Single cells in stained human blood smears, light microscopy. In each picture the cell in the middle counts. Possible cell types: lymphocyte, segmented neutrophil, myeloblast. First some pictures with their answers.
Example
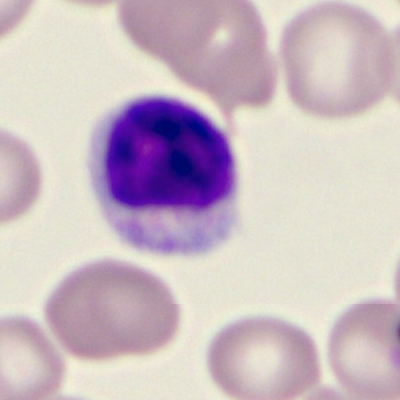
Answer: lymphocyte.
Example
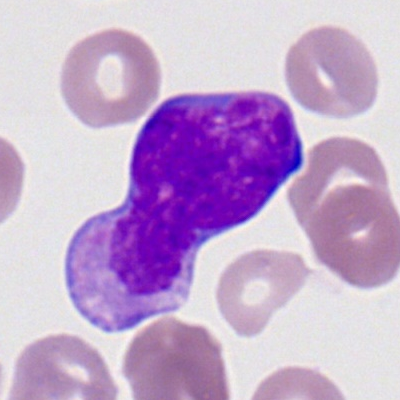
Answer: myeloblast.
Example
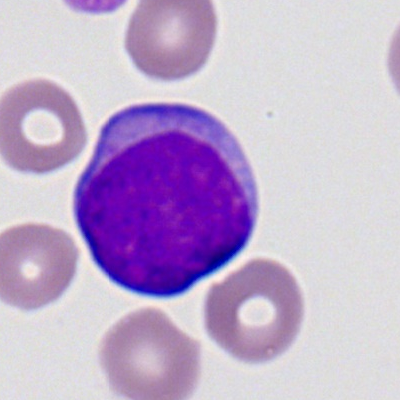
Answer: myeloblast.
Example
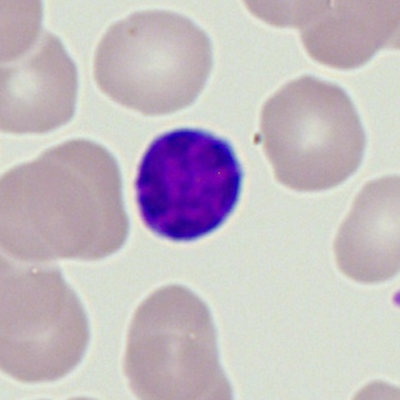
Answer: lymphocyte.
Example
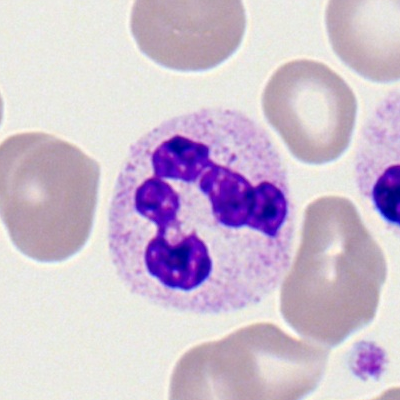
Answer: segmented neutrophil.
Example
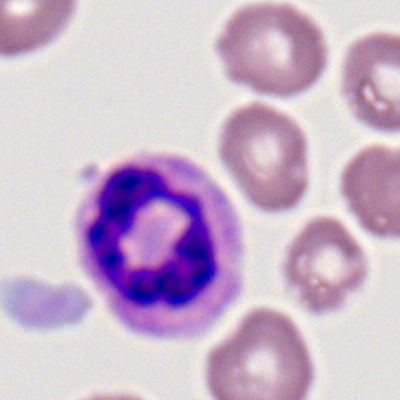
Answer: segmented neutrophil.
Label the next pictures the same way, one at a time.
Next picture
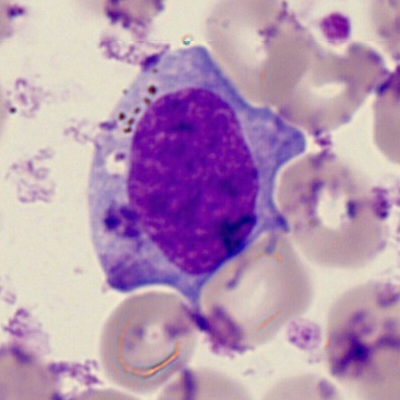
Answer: myeloblast.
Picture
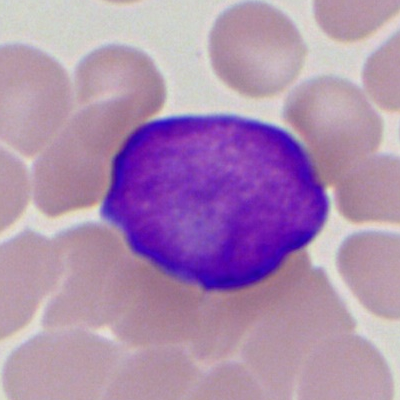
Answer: myeloblast.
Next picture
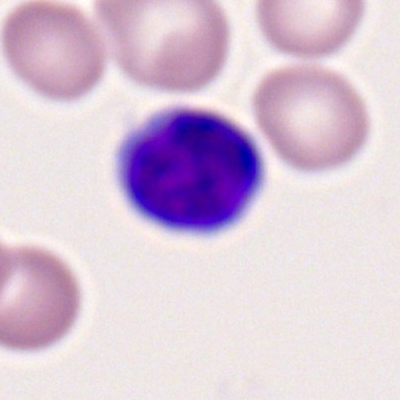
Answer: lymphocyte.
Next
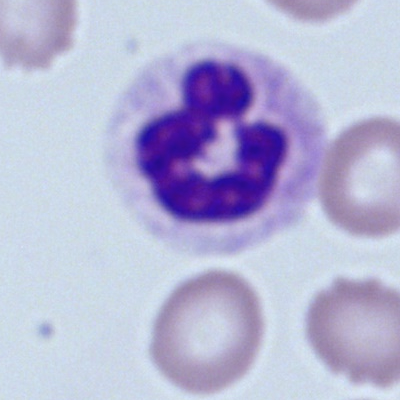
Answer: segmented neutrophil.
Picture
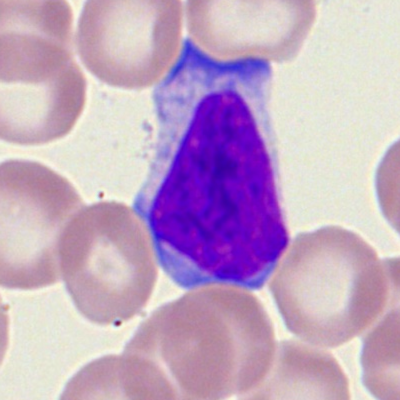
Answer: lymphocyte.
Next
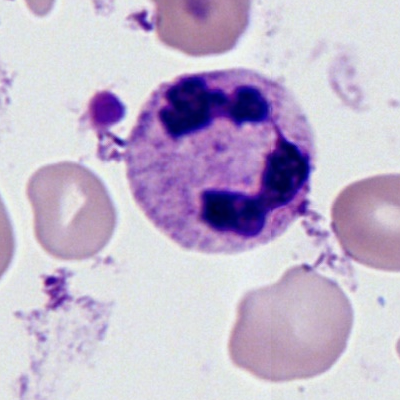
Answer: segmented neutrophil.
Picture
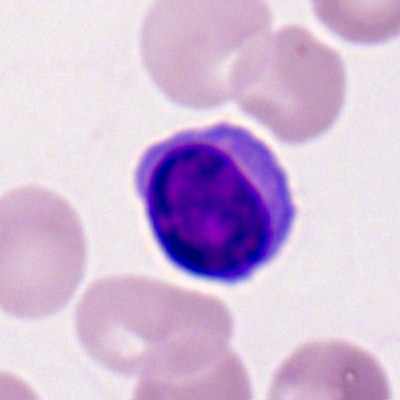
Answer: lymphocyte.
